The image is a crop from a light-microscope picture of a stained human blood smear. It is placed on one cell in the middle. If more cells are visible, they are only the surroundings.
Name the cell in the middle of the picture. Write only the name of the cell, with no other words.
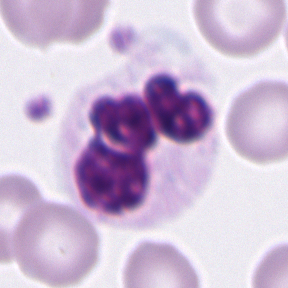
segmented neutrophil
